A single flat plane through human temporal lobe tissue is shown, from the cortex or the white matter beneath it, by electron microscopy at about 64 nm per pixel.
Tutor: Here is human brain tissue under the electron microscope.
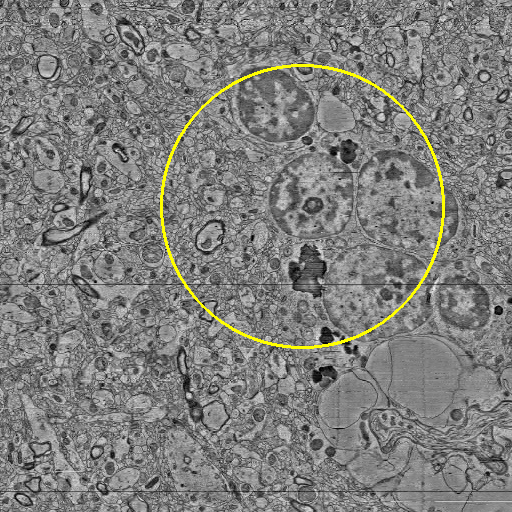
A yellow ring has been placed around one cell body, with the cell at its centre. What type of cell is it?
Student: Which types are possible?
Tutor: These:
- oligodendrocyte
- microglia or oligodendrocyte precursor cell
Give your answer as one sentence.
What the ring picks out here is an oligodendrocyte.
